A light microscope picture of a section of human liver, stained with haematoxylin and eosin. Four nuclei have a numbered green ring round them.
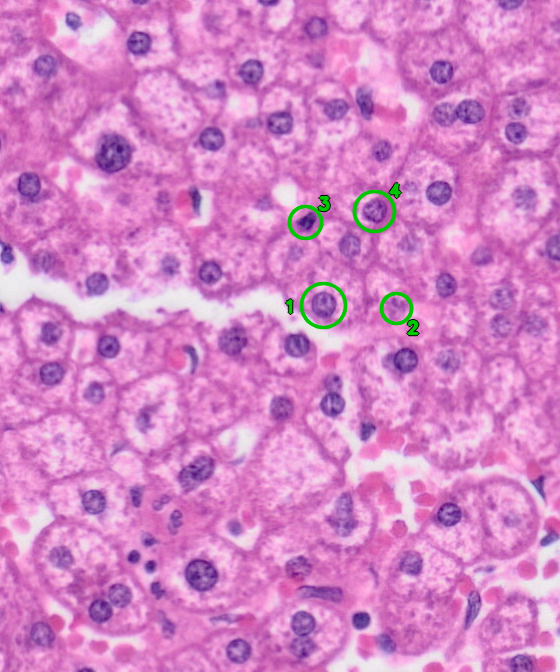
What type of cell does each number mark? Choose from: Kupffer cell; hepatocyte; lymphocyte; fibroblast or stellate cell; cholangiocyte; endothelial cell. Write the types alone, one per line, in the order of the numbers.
hepatocyte
hepatocyte
fibroblast or stellate cell
hepatocyte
